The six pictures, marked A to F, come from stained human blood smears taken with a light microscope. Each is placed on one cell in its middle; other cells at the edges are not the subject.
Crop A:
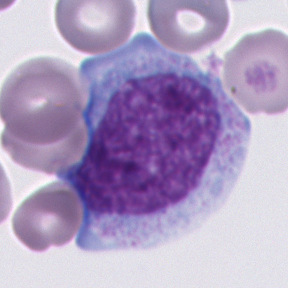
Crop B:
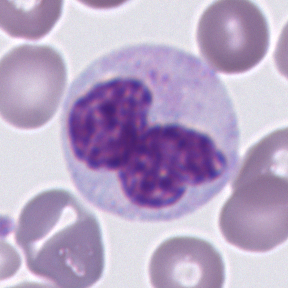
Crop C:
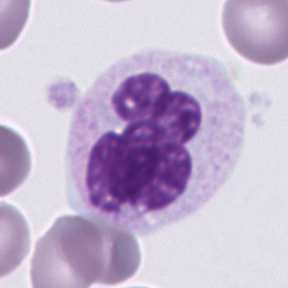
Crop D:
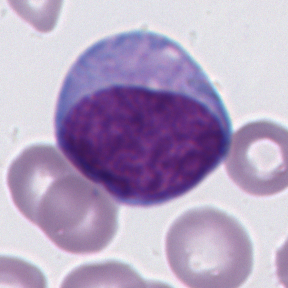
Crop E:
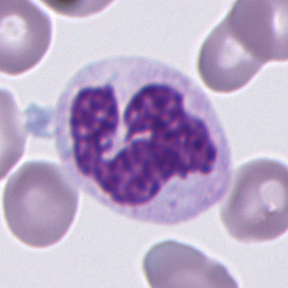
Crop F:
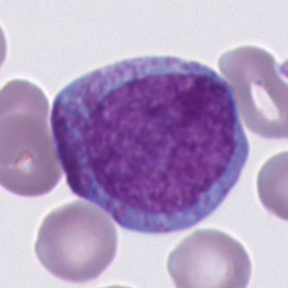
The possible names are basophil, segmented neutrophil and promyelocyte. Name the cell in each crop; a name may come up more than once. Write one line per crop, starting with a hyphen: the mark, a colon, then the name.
- A: promyelocyte
- B: segmented neutrophil
- C: segmented neutrophil
- D: promyelocyte
- E: segmented neutrophil
- F: promyelocyte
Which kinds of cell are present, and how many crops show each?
promyelocyte: 3
segmented neutrophil: 3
